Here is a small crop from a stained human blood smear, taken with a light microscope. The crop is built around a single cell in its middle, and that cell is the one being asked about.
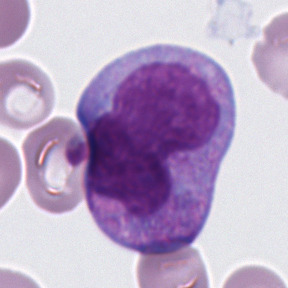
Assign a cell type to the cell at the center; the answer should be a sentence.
The cell in the exact centre of the crop is an atypical promyelocyte.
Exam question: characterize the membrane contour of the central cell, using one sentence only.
Happy to help: the outline is smooth and shows no projections.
